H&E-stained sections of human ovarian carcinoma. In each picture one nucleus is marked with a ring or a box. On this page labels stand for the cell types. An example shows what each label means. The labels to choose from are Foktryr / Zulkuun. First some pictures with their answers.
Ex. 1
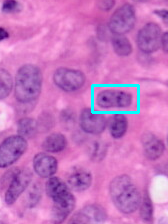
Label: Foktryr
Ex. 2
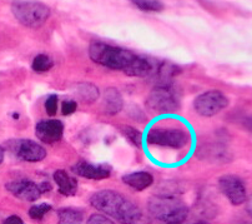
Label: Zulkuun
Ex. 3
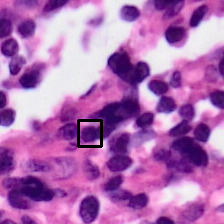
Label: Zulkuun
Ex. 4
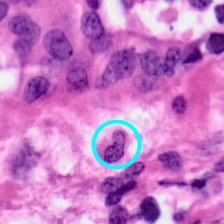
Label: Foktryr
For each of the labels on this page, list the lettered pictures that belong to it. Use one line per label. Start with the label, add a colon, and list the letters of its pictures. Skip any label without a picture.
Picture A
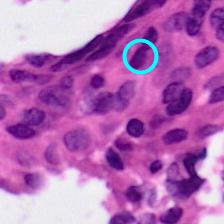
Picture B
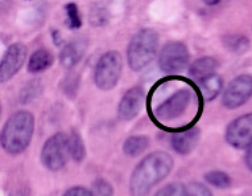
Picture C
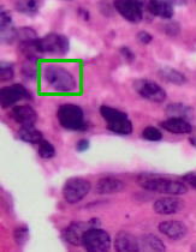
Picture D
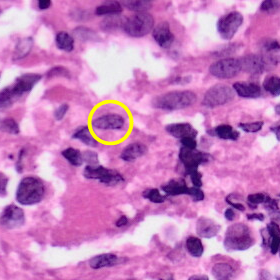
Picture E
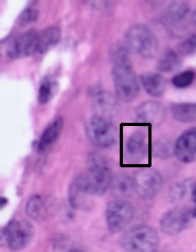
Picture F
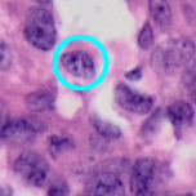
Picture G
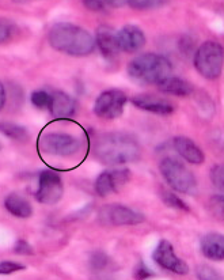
Foktryr: C, D, F
Zulkuun: A, B, E, G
